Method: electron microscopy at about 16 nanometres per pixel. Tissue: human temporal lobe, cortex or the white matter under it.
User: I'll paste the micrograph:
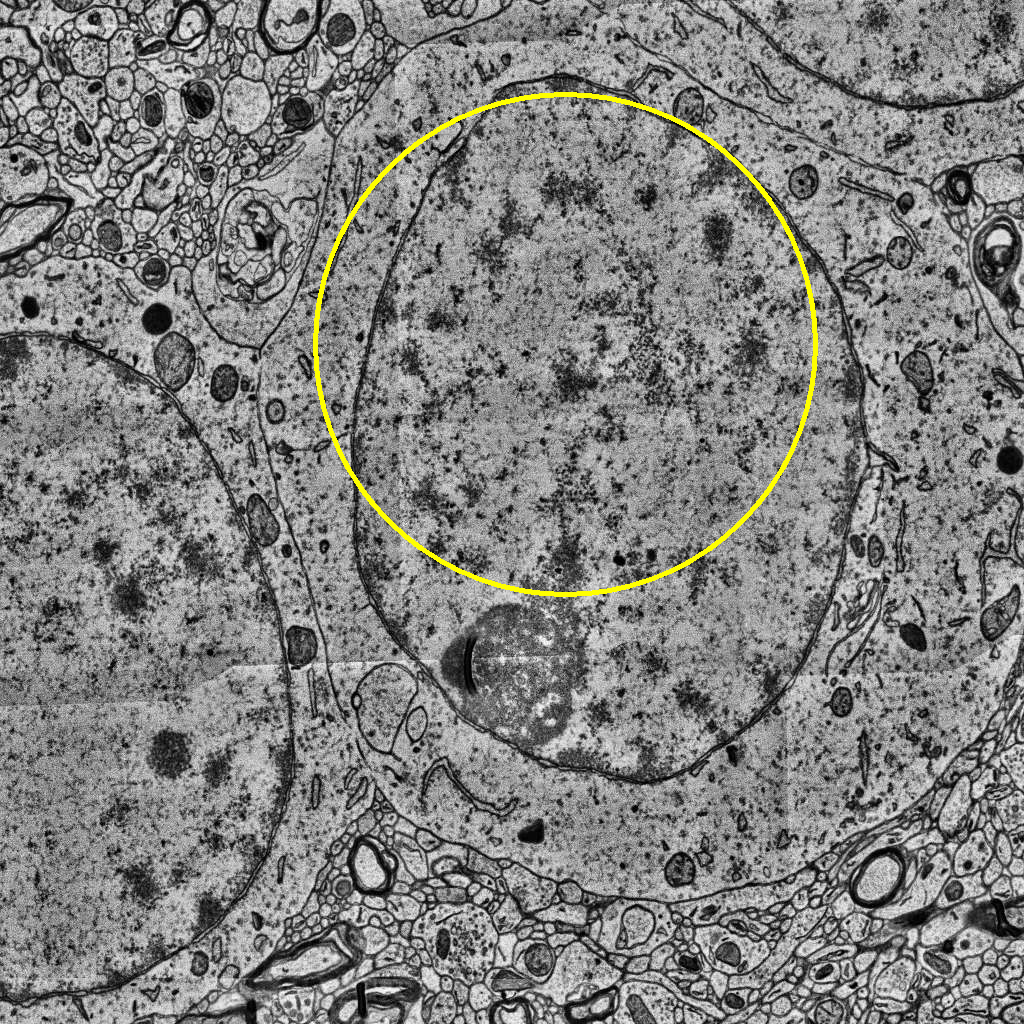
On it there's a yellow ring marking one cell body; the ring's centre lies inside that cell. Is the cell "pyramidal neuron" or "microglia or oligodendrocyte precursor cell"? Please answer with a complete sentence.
The cell at the centre of the yellow ring is a pyramidal neuron.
